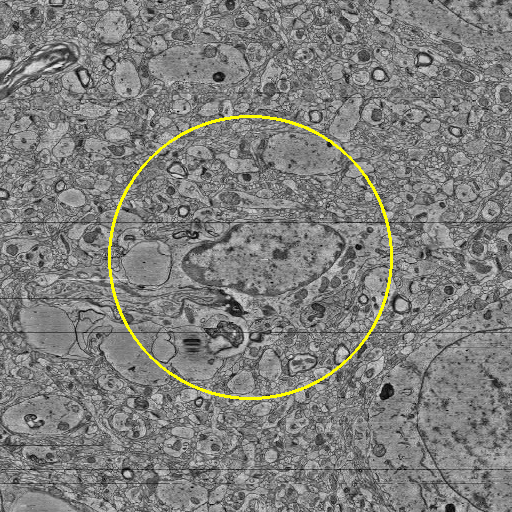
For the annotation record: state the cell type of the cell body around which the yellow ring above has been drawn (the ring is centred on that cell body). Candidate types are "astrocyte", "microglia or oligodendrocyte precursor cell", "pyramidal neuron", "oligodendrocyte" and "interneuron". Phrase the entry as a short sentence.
The ringed cell is a microglial cell or oligodendrocyte precursor cell.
